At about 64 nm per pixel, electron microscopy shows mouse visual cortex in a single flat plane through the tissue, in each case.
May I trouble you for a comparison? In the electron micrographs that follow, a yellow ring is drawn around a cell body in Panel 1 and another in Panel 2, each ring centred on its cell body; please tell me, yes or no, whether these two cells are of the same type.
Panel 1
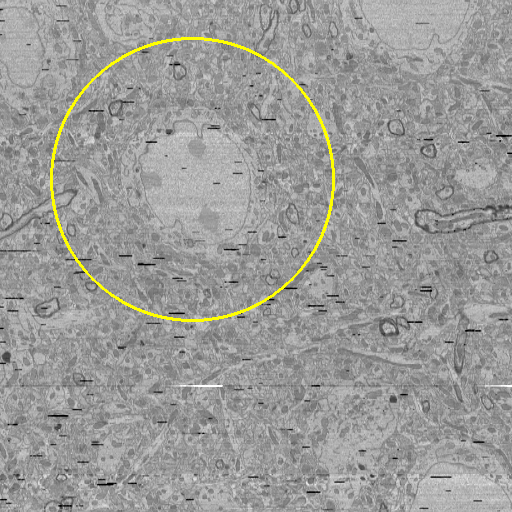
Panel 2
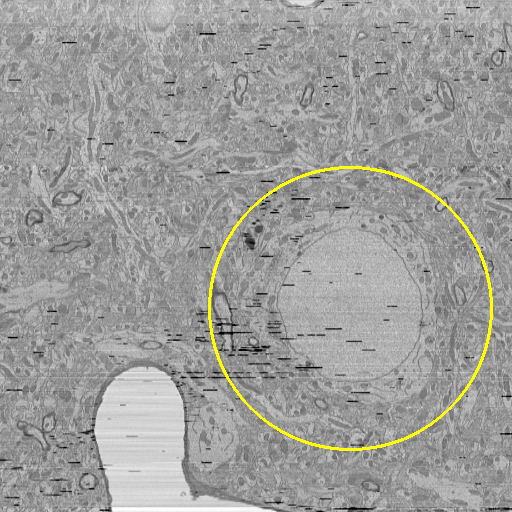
yes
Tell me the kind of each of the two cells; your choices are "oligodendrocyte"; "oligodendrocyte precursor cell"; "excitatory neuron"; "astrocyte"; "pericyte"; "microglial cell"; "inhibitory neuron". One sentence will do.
The cell in the first picture is an excitatory neuron, and so is the one in the second.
